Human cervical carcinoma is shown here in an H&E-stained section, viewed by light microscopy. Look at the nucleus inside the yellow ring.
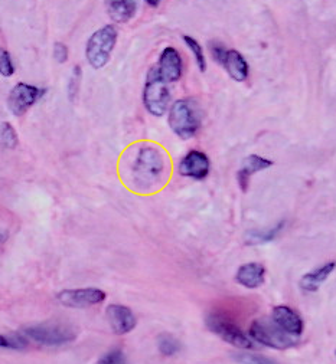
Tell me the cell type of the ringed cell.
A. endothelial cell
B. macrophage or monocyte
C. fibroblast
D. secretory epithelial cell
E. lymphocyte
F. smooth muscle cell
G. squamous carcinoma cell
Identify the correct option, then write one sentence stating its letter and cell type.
Here the correct option is A, since the ringed cell is an endothelial cell.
